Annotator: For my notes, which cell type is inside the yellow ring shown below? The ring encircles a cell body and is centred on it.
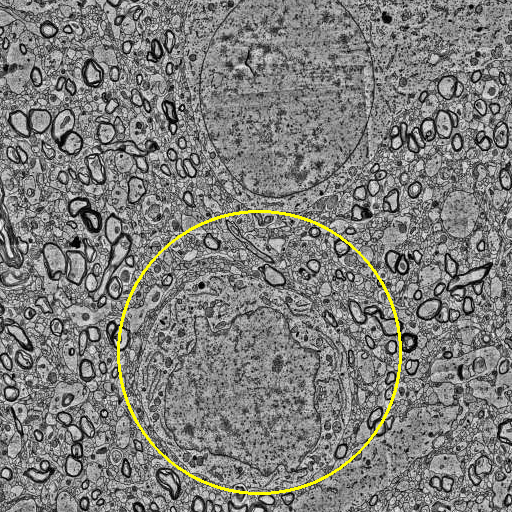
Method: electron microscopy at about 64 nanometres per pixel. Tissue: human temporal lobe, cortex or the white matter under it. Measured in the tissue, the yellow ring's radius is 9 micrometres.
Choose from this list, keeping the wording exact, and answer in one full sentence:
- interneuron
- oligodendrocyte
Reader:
At the centre of the yellow ring there is an interneuron, as shown in the picture.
